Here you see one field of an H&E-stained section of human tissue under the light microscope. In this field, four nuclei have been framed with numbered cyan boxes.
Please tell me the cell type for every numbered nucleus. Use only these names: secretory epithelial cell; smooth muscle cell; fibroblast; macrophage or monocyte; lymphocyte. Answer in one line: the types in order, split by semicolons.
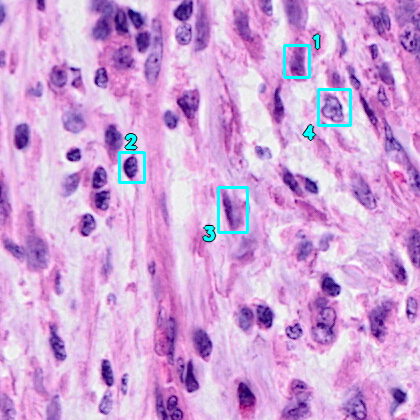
fibroblast; lymphocyte; fibroblast; fibroblast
